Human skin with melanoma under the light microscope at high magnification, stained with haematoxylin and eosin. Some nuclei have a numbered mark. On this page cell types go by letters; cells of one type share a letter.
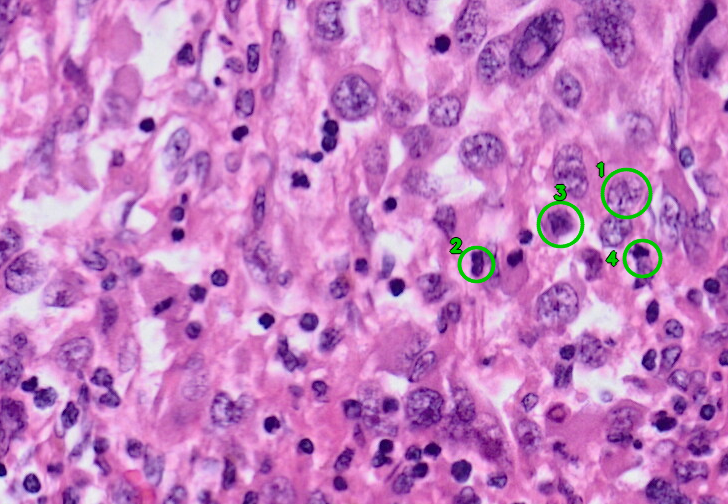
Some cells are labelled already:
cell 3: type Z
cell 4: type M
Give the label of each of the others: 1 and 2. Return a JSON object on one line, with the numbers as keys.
{"1": "type Z", "2": "type M"}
